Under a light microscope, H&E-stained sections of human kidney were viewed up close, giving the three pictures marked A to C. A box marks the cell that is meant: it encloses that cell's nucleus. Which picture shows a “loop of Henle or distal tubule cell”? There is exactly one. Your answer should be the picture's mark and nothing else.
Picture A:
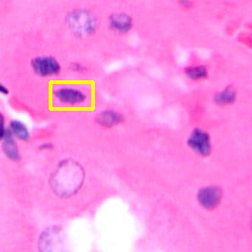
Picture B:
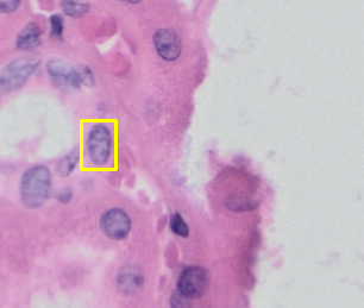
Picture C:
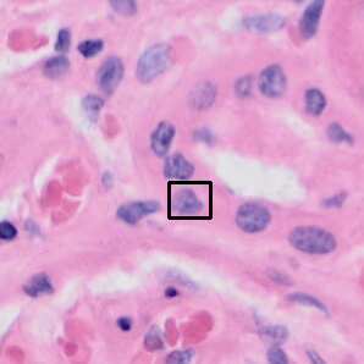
A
